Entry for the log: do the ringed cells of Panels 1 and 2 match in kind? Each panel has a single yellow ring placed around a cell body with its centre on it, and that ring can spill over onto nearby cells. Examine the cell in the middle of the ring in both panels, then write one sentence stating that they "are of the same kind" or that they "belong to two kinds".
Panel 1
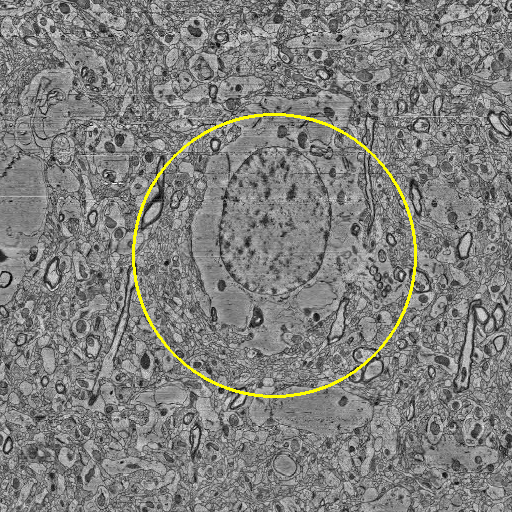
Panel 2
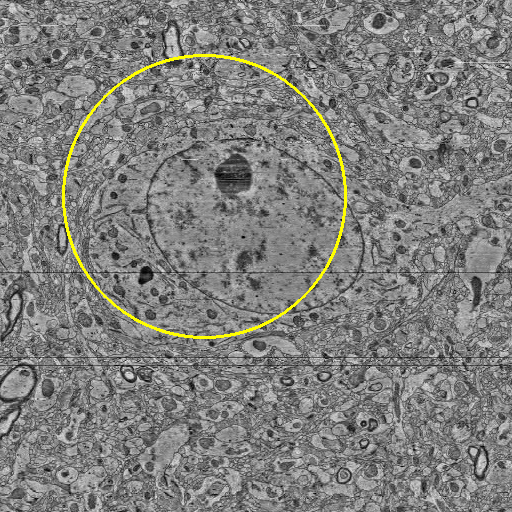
The centre cell of Panel 1's ring and that of Panel 2's ring belong to two kinds.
